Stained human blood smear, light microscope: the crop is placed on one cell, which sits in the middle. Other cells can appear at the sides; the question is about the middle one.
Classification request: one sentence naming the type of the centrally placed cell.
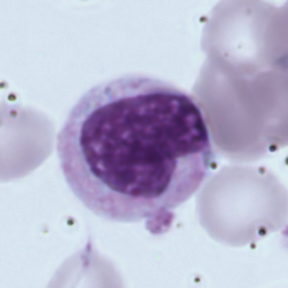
As for the cell in the middle, it is a metamyelocyte.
